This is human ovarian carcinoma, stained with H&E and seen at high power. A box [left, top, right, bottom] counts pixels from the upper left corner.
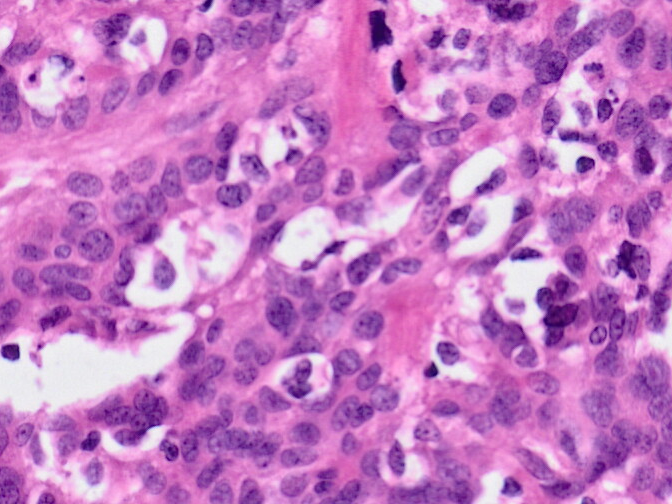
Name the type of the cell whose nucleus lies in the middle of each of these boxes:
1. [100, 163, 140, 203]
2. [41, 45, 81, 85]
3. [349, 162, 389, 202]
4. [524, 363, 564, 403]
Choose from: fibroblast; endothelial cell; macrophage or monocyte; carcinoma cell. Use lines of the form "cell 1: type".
cell 1: carcinoma cell
cell 2: macrophage or monocyte
cell 3: carcinoma cell
cell 4: carcinoma cell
